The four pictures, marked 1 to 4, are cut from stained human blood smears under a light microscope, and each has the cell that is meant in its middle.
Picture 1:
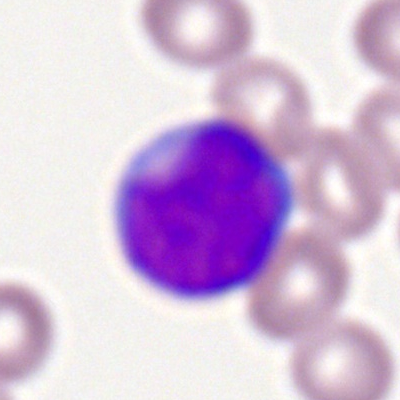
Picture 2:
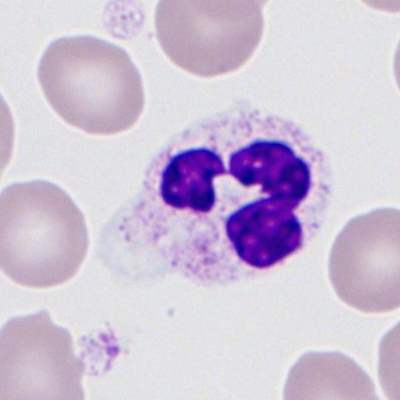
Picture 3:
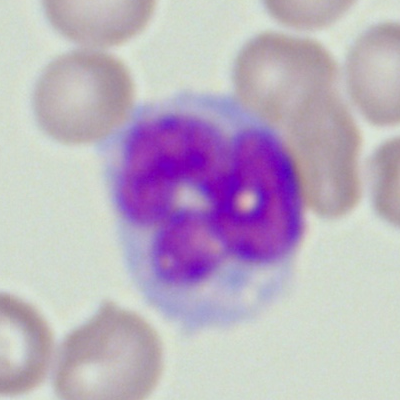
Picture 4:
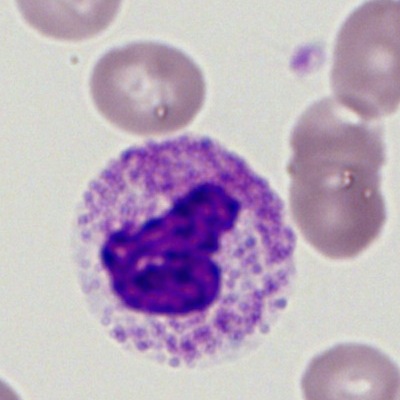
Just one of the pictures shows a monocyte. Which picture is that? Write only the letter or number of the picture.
3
